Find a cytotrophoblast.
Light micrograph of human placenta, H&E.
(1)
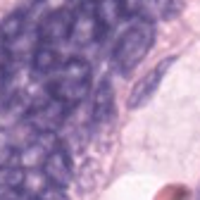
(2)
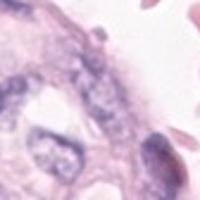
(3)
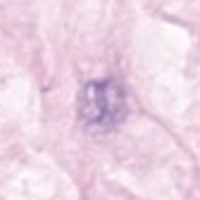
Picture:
2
